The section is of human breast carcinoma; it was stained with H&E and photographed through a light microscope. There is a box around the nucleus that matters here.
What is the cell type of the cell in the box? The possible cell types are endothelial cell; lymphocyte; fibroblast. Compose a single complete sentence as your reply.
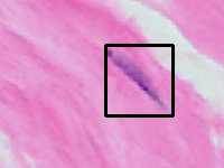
Considered by cell type, the cell in the box is a fibroblast.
